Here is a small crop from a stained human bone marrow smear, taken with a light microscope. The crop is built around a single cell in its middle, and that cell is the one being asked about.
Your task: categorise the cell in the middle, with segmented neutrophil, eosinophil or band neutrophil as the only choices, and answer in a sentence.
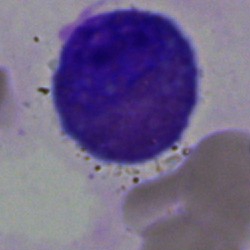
The cell around which this crop is centred is an eosinophil.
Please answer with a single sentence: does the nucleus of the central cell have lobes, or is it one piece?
If you check the nucleus, you will find one compact mass, round, oval or kidney-shaped.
